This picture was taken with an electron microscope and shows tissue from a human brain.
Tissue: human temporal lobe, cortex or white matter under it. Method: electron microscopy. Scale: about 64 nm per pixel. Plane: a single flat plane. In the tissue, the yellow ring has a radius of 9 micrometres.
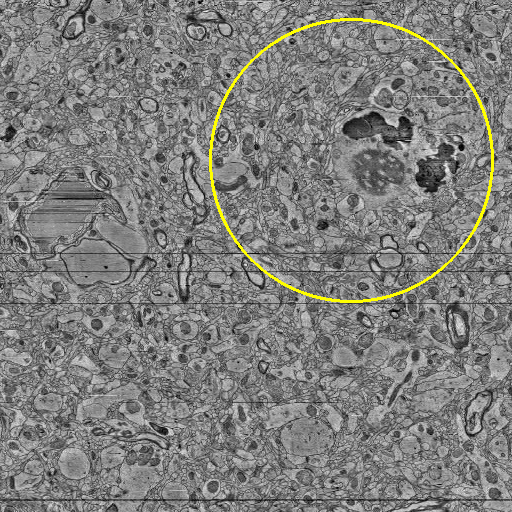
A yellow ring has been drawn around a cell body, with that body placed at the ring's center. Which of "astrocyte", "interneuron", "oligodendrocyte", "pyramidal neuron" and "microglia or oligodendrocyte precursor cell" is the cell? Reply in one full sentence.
In this picture, an oligodendrocyte is the cell at the center of the yellow ring.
